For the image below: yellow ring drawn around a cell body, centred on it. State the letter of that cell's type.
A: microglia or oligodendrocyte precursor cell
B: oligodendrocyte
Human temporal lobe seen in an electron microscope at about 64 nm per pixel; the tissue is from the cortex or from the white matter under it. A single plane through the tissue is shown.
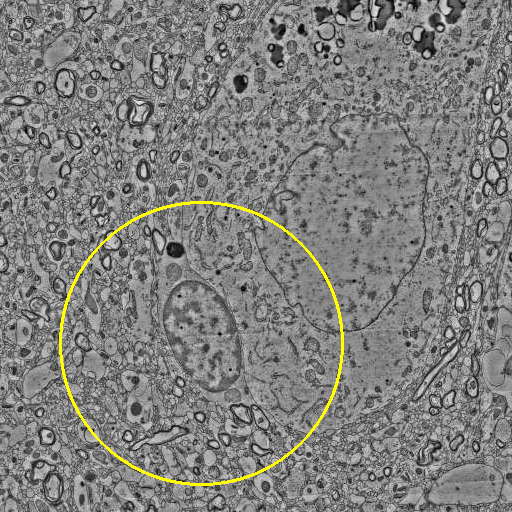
B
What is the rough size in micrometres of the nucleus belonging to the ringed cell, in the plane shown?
In this plane, roughly 7 by 4 micrometres.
